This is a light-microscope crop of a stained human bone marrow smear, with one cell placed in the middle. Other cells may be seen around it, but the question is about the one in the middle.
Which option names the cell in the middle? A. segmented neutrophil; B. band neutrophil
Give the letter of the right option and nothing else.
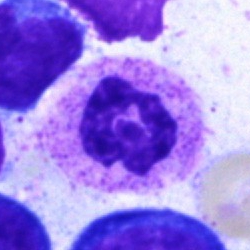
A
